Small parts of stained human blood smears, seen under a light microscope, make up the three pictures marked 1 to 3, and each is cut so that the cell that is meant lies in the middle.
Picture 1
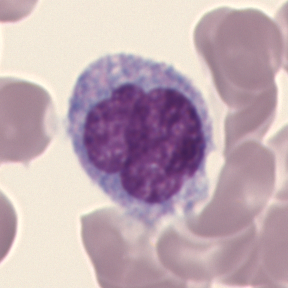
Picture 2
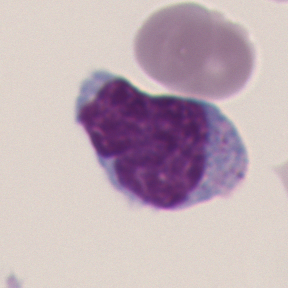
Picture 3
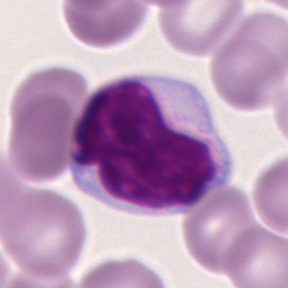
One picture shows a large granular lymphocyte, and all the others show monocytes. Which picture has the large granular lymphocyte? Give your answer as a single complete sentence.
The cell in picture 3 is the large granular lymphocyte.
